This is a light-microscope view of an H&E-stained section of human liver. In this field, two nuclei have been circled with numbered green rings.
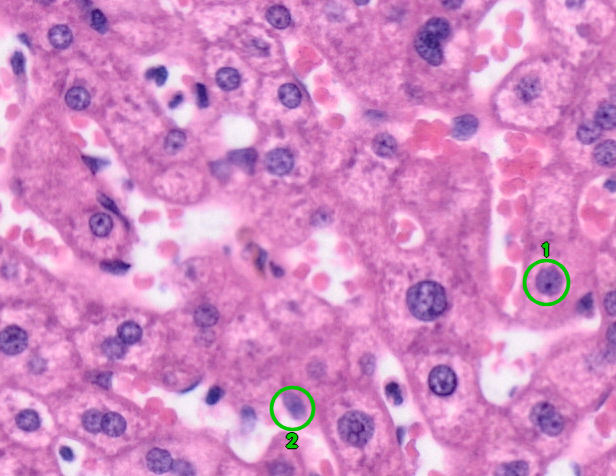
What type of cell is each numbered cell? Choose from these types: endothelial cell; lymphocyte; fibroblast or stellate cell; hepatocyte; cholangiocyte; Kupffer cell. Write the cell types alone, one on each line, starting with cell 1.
hepatocyte
endothelial cell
